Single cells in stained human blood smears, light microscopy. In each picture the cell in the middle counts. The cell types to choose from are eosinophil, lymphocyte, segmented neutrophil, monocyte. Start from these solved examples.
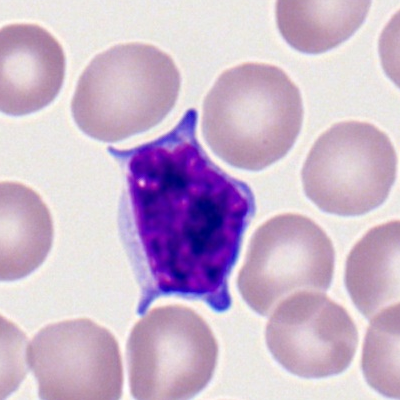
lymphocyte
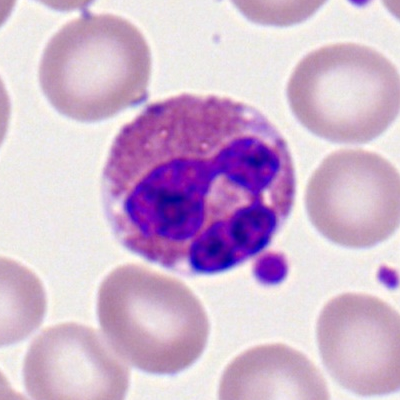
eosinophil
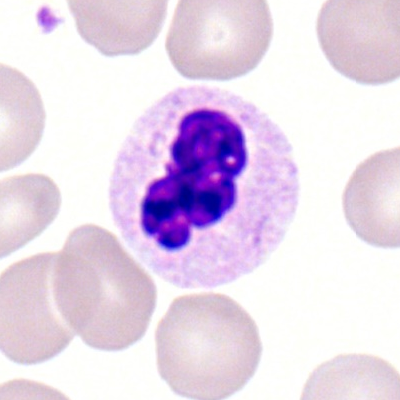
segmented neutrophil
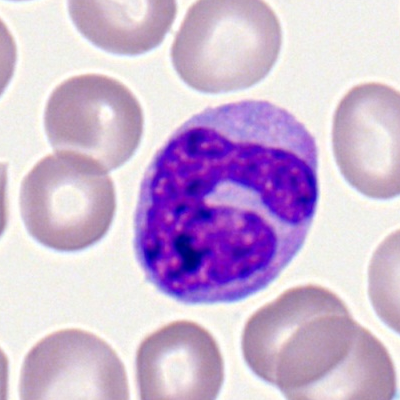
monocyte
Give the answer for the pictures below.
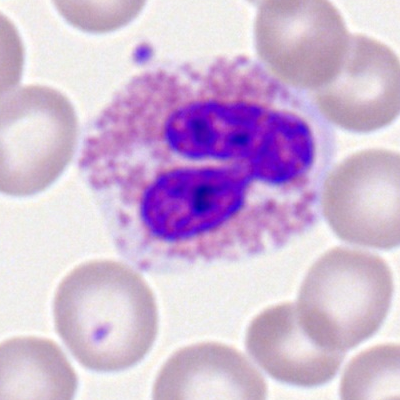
eosinophil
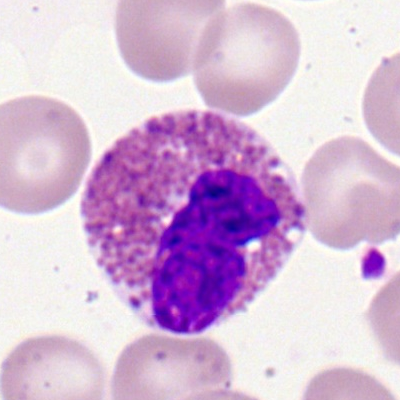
eosinophil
